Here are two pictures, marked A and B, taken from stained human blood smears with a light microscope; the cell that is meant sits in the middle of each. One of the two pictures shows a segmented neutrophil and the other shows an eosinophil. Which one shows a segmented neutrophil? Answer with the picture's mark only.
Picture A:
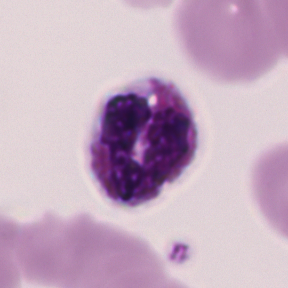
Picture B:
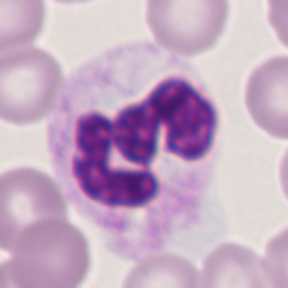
B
